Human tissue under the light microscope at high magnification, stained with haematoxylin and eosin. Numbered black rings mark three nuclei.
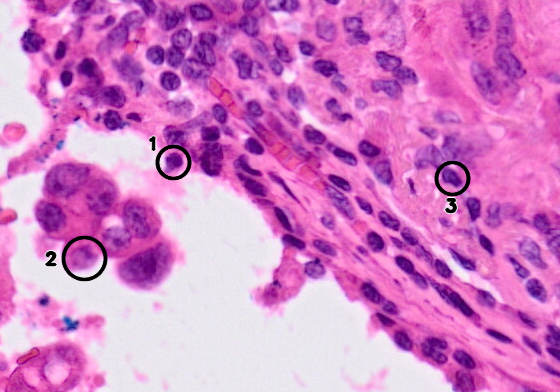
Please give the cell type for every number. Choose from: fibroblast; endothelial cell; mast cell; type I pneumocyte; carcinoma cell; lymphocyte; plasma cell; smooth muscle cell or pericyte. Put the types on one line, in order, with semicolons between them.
lymphocyte; carcinoma cell; lymphocyte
